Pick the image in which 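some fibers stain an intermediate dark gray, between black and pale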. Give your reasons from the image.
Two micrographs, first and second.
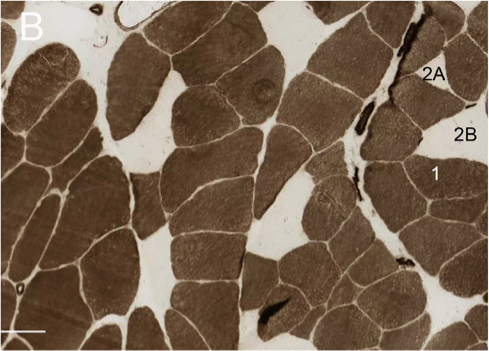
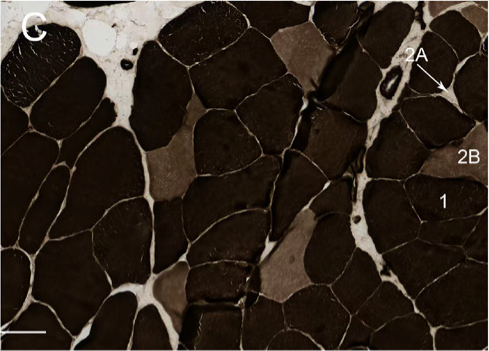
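The second image. First image: fibers are either dark brown or pale grayish-white, with no clear intermediate gray group.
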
